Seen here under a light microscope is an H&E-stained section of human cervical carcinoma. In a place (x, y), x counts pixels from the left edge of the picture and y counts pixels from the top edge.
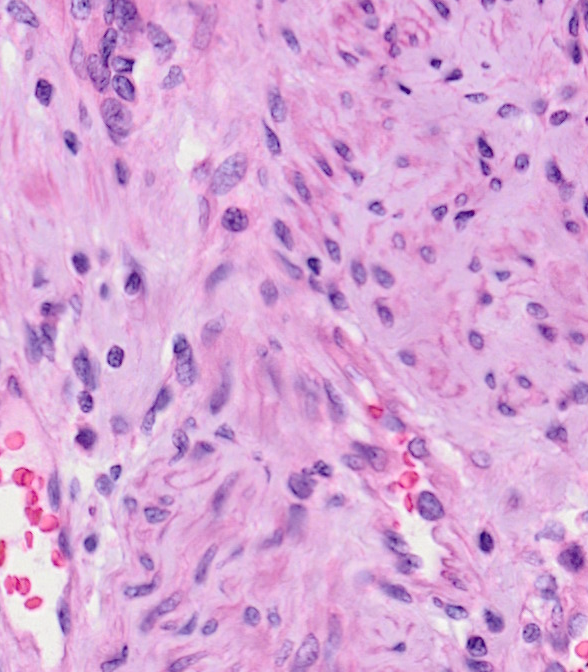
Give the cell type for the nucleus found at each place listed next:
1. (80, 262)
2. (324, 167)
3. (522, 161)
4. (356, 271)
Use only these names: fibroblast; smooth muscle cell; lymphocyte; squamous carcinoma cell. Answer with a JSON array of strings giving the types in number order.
["lymphocyte", "smooth muscle cell", "smooth muscle cell", "smooth muscle cell"]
